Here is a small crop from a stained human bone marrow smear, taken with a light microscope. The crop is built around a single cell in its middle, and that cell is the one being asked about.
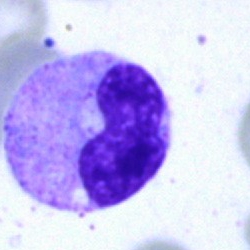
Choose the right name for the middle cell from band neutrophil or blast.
band neutrophil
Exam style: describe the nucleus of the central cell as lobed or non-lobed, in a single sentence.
The nuclear material is gathered into one compact round, oval or kidney-shaped mass.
